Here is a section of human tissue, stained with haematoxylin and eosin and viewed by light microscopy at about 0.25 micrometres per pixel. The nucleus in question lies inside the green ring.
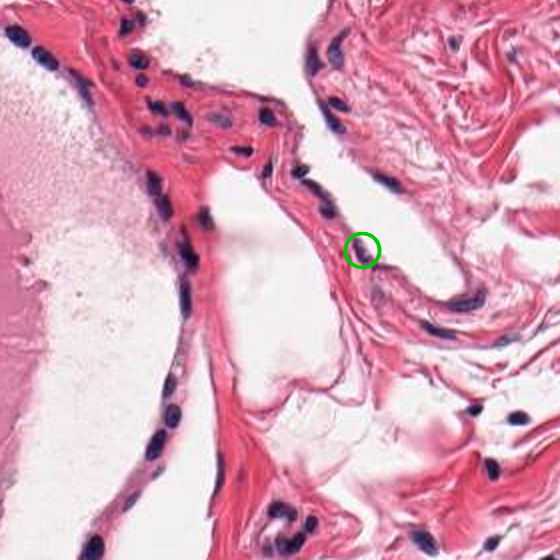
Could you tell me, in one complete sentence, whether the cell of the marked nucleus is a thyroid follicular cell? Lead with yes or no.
No, the marked nucleus belongs to a supporting cell of connective tissue, a vessel or the immune system, not to a thyroid follicular cell.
